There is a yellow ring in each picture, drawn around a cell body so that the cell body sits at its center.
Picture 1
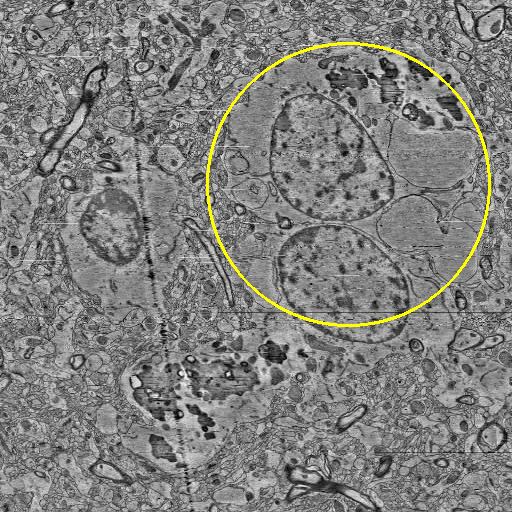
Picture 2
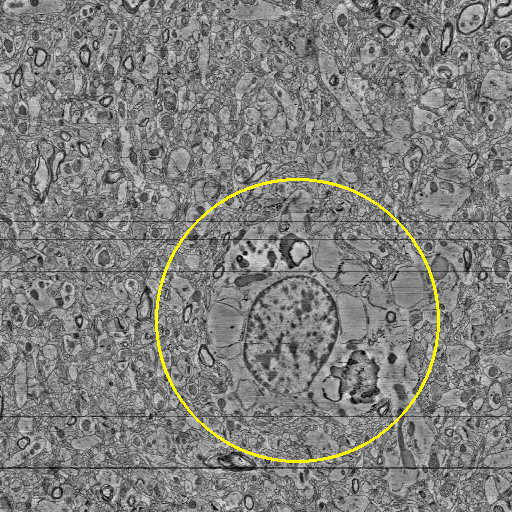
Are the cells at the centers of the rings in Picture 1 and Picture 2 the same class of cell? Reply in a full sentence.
Yes, the two cells are the same class of cell.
